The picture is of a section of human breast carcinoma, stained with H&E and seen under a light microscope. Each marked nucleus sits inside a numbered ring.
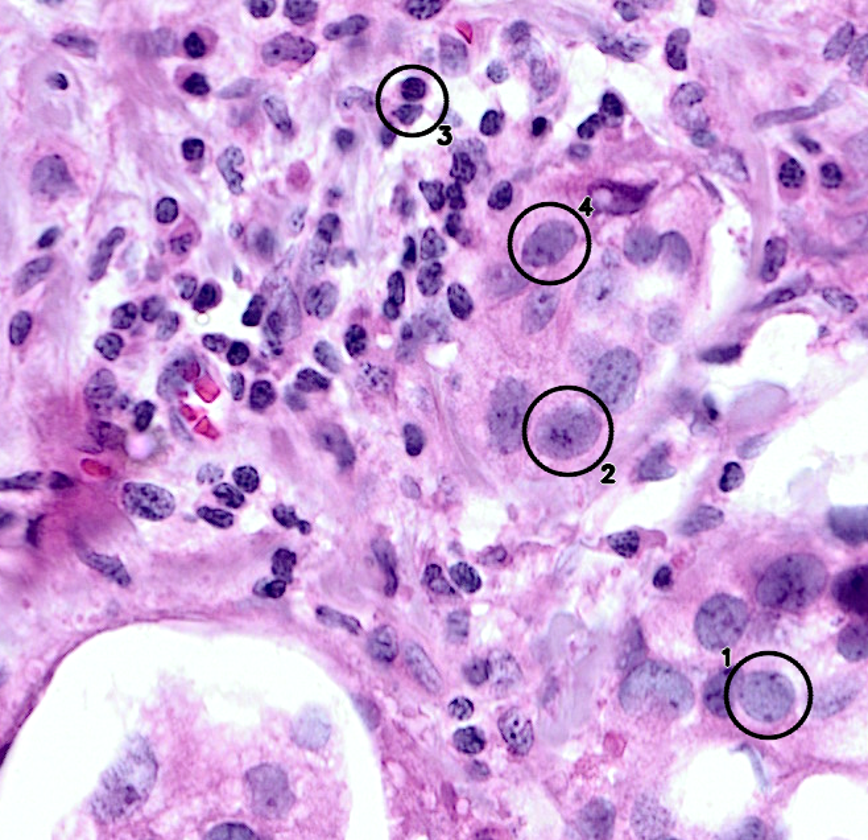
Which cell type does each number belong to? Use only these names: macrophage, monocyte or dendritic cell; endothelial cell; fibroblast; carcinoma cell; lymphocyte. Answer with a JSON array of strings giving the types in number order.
["carcinoma cell", "carcinoma cell", "lymphocyte", "carcinoma cell"]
